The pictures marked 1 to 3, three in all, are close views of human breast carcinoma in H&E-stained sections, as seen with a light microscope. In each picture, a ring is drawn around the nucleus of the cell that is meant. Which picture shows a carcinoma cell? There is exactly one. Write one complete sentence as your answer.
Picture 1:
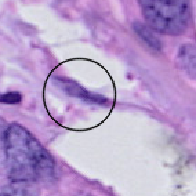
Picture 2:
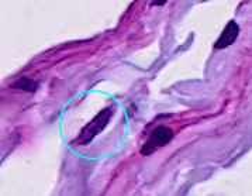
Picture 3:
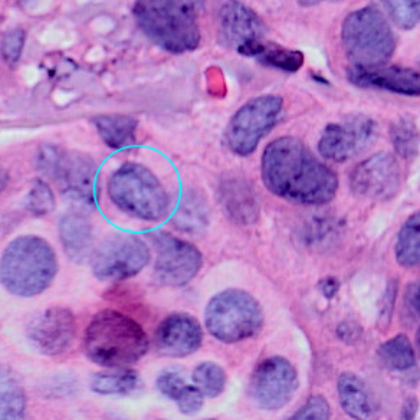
Picture 3 is the one that shows the carcinoma cell.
